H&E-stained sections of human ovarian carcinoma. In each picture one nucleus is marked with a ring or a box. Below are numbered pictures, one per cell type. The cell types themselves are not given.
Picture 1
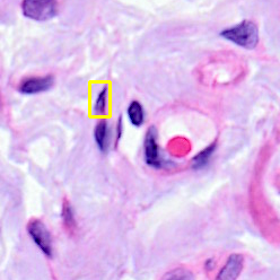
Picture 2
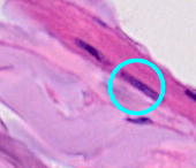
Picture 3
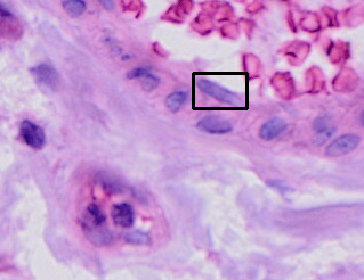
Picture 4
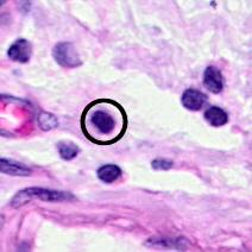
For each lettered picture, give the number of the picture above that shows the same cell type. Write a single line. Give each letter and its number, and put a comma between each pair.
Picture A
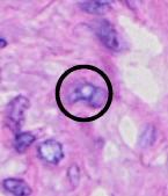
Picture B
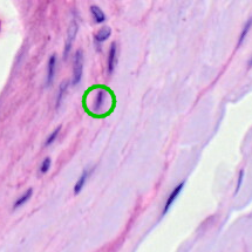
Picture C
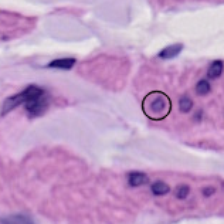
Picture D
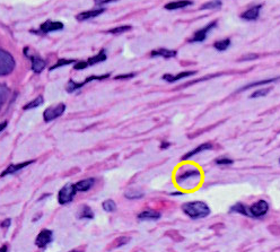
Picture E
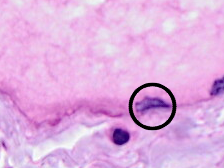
A 1, B 2, C 2, D 1, E 3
